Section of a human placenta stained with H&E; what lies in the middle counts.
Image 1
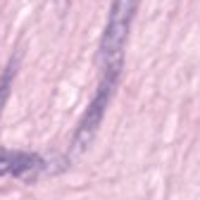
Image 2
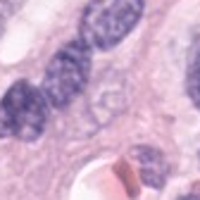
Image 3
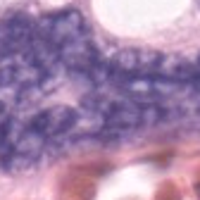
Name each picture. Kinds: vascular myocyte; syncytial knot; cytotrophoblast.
Picture 1: vascular myocyte
Picture 2: cytotrophoblast
Picture 3: syncytial knot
